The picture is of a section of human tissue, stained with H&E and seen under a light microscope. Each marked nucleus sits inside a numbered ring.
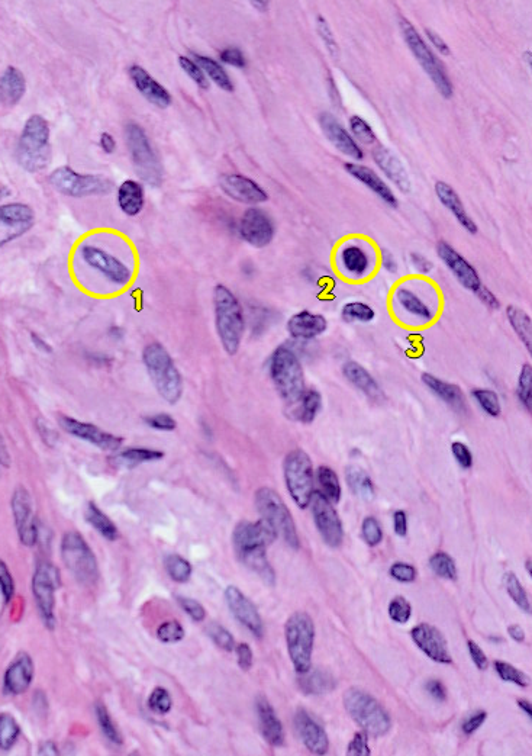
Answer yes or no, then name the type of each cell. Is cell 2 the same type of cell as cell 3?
No, cell 3 is a fibroblast, whereas cell 2 is a lymphocyte.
